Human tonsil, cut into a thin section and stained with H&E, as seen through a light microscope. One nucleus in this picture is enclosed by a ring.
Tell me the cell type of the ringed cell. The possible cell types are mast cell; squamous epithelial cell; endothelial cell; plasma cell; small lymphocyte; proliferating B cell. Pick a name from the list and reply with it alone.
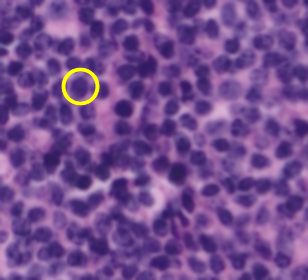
small lymphocyte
